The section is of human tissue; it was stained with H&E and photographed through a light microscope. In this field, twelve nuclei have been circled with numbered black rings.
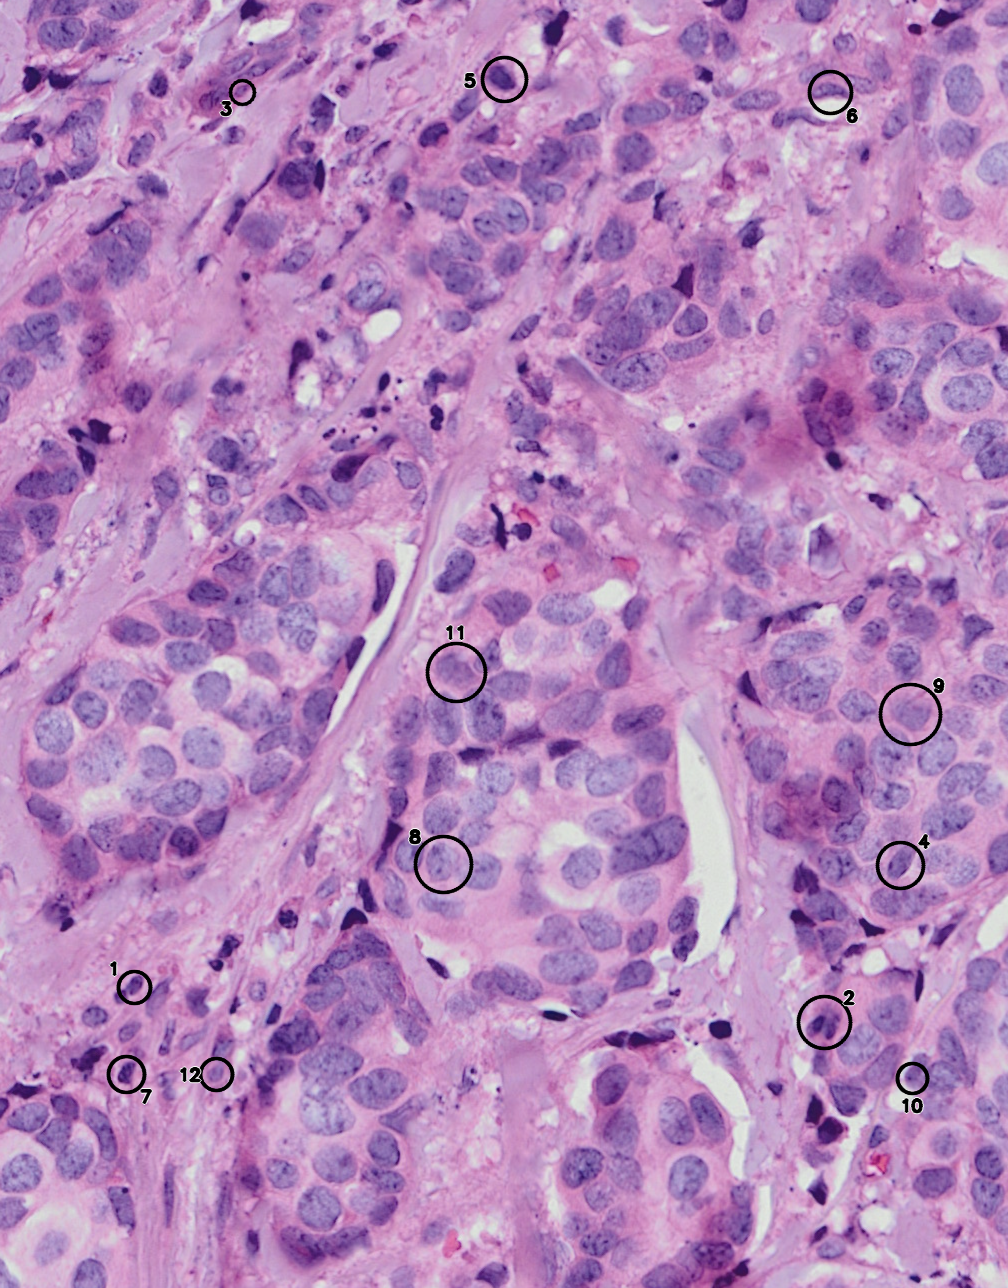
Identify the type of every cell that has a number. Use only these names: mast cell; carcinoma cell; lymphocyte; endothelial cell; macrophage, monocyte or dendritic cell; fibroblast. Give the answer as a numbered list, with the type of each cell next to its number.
1. lymphocyte
2. carcinoma cell
3. endothelial cell
4. carcinoma cell
5. carcinoma cell
6. endothelial cell
7. lymphocyte
8. carcinoma cell
9. carcinoma cell
10. carcinoma cell
11. carcinoma cell
12. endothelial cell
